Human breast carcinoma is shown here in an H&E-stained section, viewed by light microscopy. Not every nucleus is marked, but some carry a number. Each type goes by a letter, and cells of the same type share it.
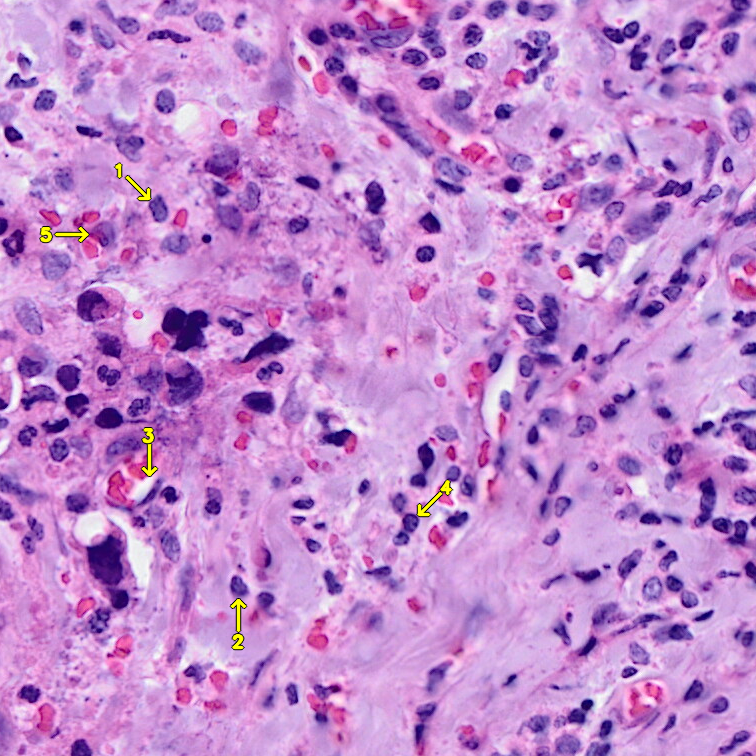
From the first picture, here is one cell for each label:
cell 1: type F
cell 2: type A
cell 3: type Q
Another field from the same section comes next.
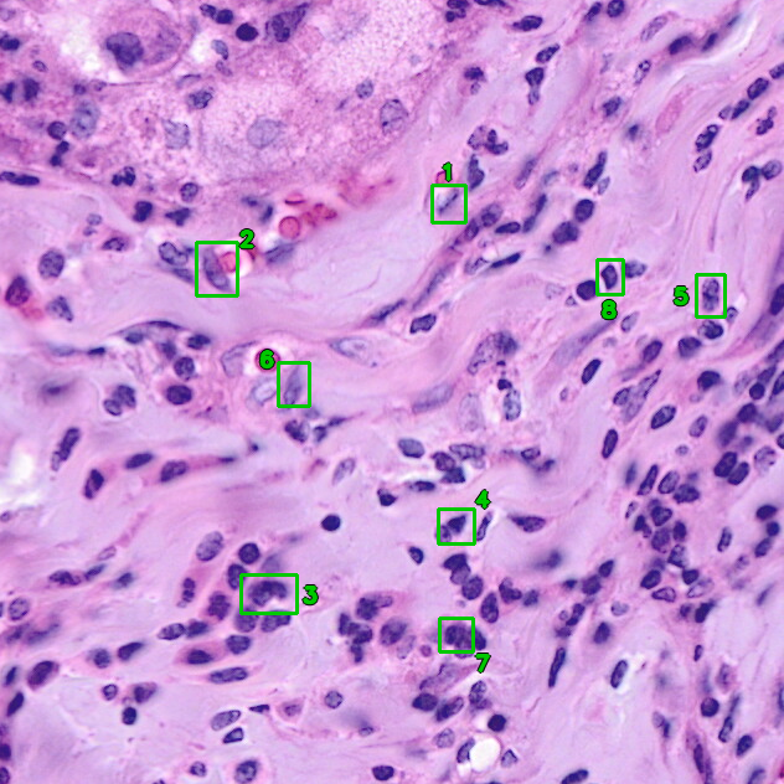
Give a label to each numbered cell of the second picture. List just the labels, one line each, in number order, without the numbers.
type Q
type Q
type A
type A
type F
type Q
type A
type A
